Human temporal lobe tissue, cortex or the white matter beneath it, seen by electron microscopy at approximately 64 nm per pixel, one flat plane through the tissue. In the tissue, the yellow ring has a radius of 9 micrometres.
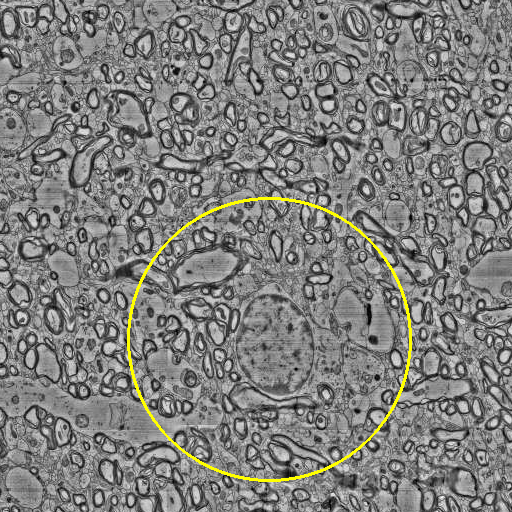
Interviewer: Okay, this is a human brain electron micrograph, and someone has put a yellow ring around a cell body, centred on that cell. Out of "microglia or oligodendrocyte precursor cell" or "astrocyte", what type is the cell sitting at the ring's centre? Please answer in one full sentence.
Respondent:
The cell at the centre of the yellow ring in this picture is a microglial cell or oligodendrocyte precursor cell.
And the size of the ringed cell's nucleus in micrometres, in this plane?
The ringed cell's nucleus is about 7 micrometres long and 5 micrometres wide in this plane.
